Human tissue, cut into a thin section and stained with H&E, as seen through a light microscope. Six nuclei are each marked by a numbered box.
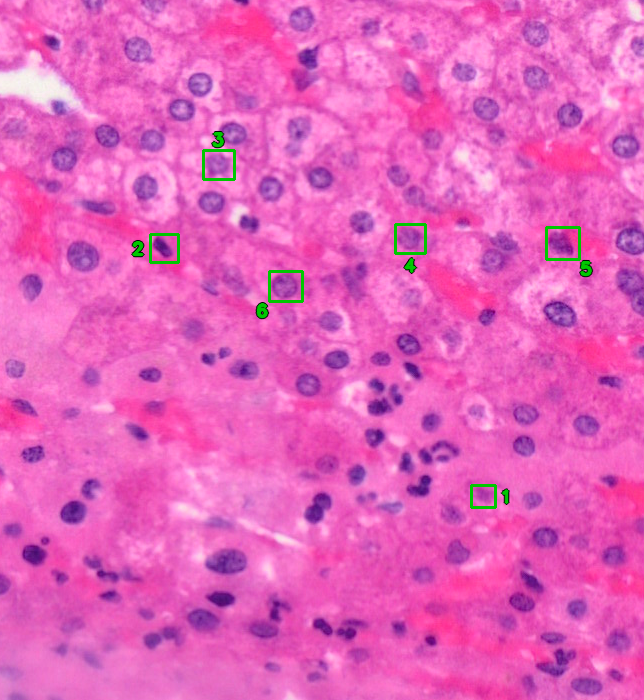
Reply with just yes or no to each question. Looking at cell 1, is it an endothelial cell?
no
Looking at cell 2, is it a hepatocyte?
no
